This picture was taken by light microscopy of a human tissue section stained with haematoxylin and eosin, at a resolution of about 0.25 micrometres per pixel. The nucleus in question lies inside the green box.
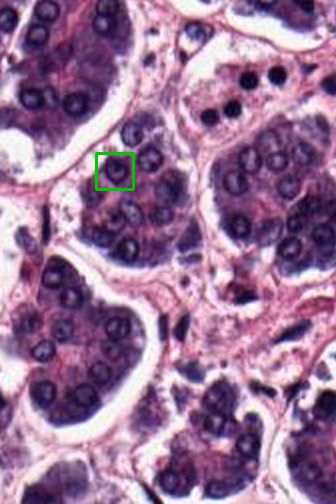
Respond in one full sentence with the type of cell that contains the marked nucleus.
Here it is a pancreatic acinar cell that the marked nucleus belongs to.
